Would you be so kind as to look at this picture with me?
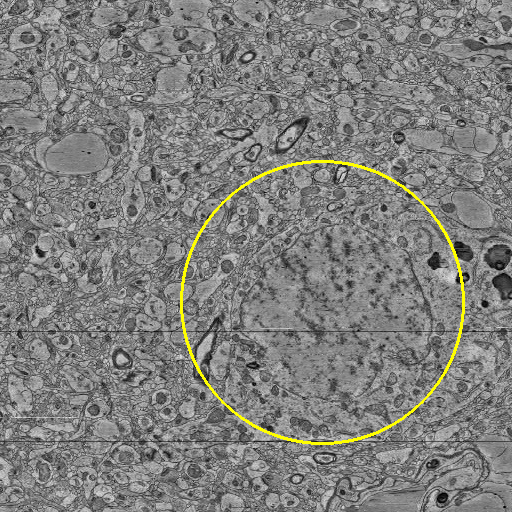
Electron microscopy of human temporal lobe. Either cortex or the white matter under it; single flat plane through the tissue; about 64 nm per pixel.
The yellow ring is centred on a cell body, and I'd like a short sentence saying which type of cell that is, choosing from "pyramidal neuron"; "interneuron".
The cell body in the ring belongs to an interneuron.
